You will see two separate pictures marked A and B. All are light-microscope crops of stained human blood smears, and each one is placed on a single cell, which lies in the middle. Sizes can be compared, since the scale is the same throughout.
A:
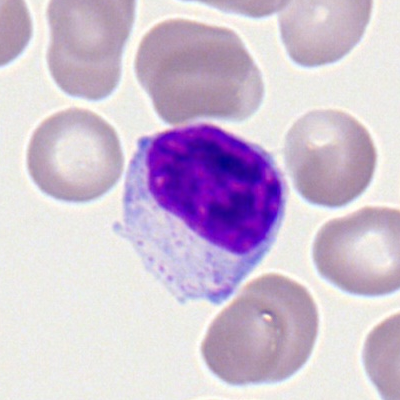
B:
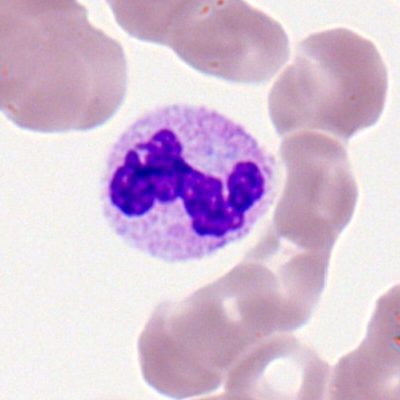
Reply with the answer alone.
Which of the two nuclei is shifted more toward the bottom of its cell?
B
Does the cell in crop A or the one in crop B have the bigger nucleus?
A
